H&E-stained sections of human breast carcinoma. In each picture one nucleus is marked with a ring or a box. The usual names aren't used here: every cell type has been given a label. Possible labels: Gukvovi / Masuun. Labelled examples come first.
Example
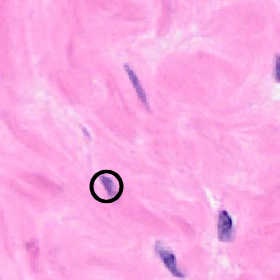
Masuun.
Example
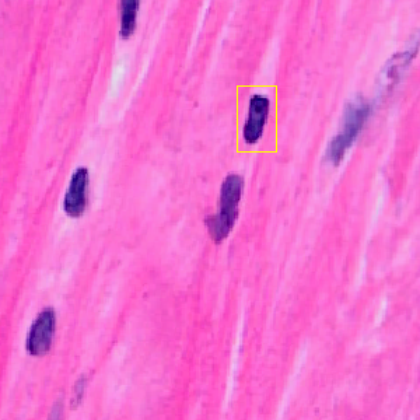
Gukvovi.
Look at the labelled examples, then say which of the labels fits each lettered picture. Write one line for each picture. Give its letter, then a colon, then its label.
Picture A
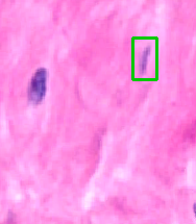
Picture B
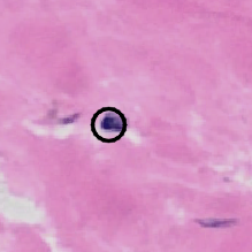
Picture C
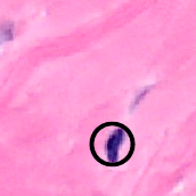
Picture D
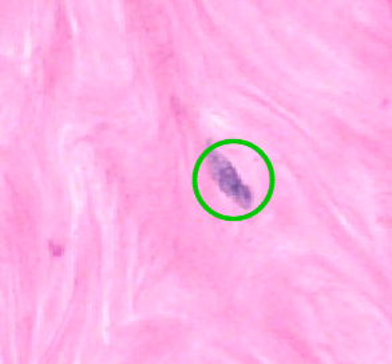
A: Masuun.
B: Gukvovi.
C: Gukvovi.
D: Masuun.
